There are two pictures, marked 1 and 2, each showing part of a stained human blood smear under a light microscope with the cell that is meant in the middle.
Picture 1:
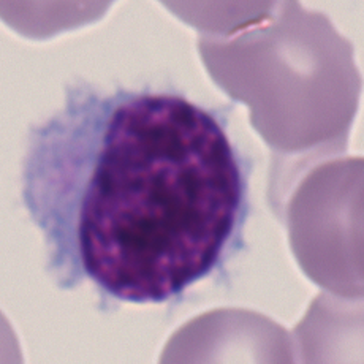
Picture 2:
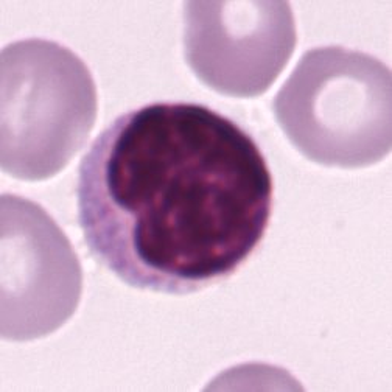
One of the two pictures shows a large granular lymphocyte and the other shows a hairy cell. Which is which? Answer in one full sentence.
Picture 2 shows a large granular lymphocyte, while picture 1 shows a hairy cell.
